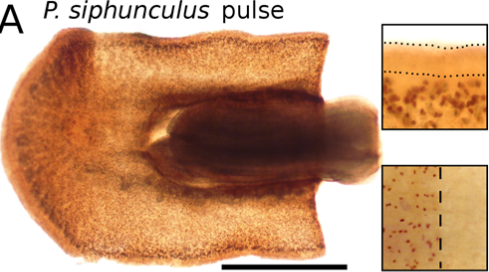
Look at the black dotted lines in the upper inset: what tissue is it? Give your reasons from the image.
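A thin pale band at the body surface lies between the two dotted lines. Brown nuclei lie below the band but not within it.
Answer: epidermis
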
